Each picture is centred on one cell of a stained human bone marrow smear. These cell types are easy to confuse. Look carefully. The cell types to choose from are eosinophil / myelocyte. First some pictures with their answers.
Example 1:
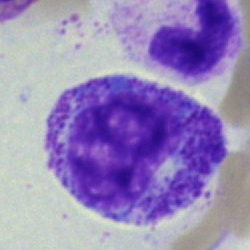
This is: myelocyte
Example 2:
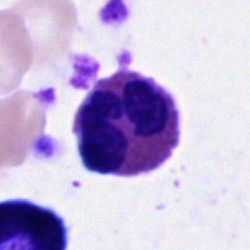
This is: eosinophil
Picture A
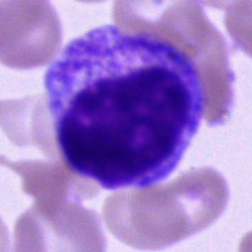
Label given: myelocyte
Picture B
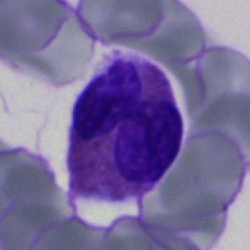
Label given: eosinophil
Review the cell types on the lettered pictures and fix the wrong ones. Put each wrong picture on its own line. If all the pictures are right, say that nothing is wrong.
All correct.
